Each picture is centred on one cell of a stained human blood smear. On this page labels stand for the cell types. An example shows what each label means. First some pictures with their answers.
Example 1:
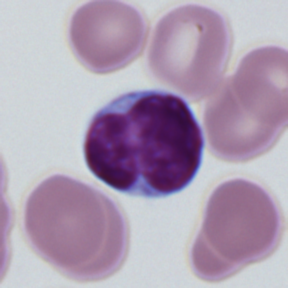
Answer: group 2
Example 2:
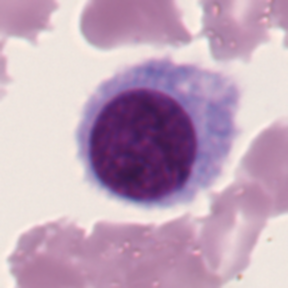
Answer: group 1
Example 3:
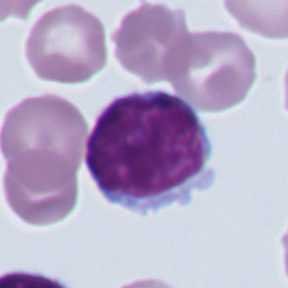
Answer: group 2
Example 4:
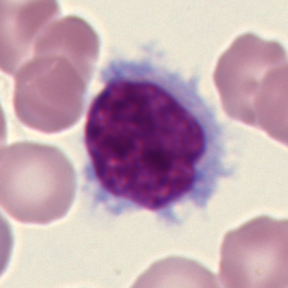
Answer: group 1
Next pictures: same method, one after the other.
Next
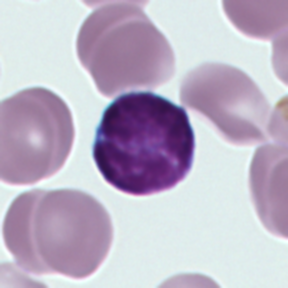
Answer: group 2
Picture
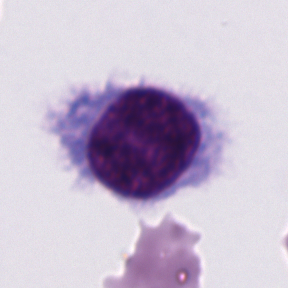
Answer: group 1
